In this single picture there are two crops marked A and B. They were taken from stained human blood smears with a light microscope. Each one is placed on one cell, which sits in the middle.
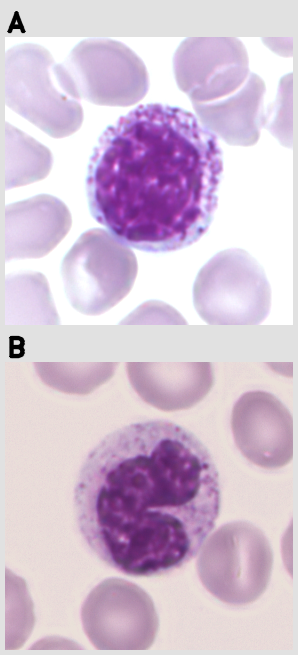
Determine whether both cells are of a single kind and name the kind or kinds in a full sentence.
No, crop A represents a metamyelocyte, and crop B represents a band neutrophil.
